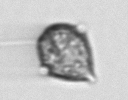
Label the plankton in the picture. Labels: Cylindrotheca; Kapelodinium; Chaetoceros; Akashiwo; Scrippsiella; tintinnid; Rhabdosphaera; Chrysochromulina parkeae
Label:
Scrippsiella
